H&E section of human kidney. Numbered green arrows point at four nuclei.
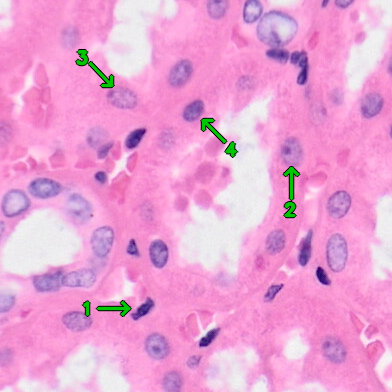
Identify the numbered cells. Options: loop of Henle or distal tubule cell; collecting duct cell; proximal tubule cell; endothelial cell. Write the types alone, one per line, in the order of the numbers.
endothelial cell
proximal tubule cell
proximal tubule cell
proximal tubule cell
